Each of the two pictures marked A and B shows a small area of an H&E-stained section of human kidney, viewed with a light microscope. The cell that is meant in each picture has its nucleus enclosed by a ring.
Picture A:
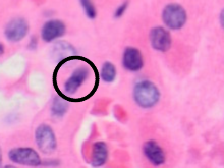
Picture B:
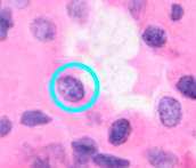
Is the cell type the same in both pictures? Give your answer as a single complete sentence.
No. Picture A shows a collecting duct cell, but picture B shows a “loop of Henle or distal tubule cell”.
